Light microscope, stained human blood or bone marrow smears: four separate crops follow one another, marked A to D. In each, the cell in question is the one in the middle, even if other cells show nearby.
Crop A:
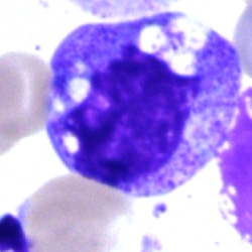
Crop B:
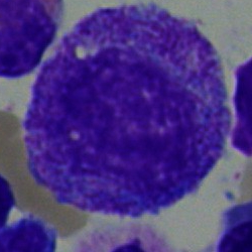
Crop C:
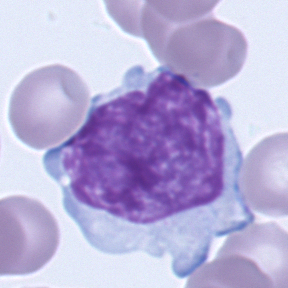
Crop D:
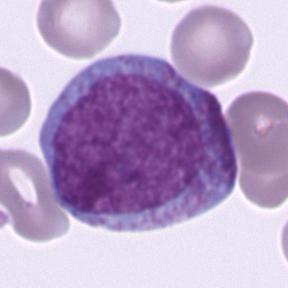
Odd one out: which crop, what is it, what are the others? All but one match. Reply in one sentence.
Crop C is singled out as a blast, and all of the other crops show promyelocytes.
